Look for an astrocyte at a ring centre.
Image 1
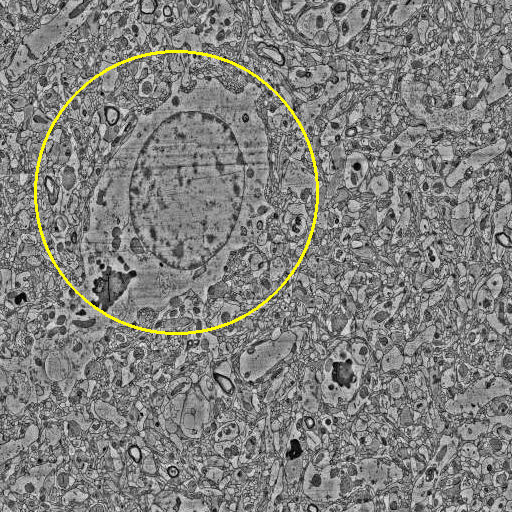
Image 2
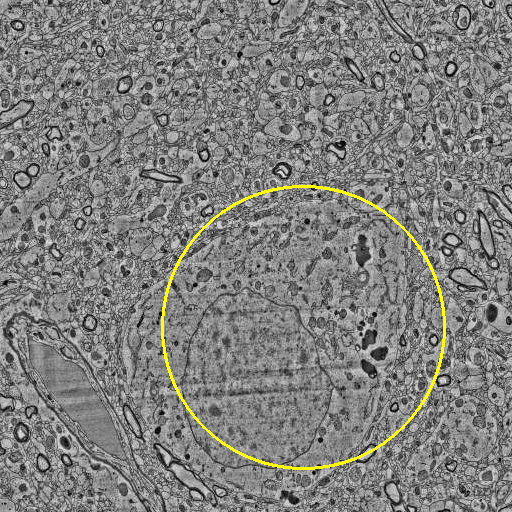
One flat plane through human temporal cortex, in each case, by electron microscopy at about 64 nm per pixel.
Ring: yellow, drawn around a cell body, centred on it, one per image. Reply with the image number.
1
